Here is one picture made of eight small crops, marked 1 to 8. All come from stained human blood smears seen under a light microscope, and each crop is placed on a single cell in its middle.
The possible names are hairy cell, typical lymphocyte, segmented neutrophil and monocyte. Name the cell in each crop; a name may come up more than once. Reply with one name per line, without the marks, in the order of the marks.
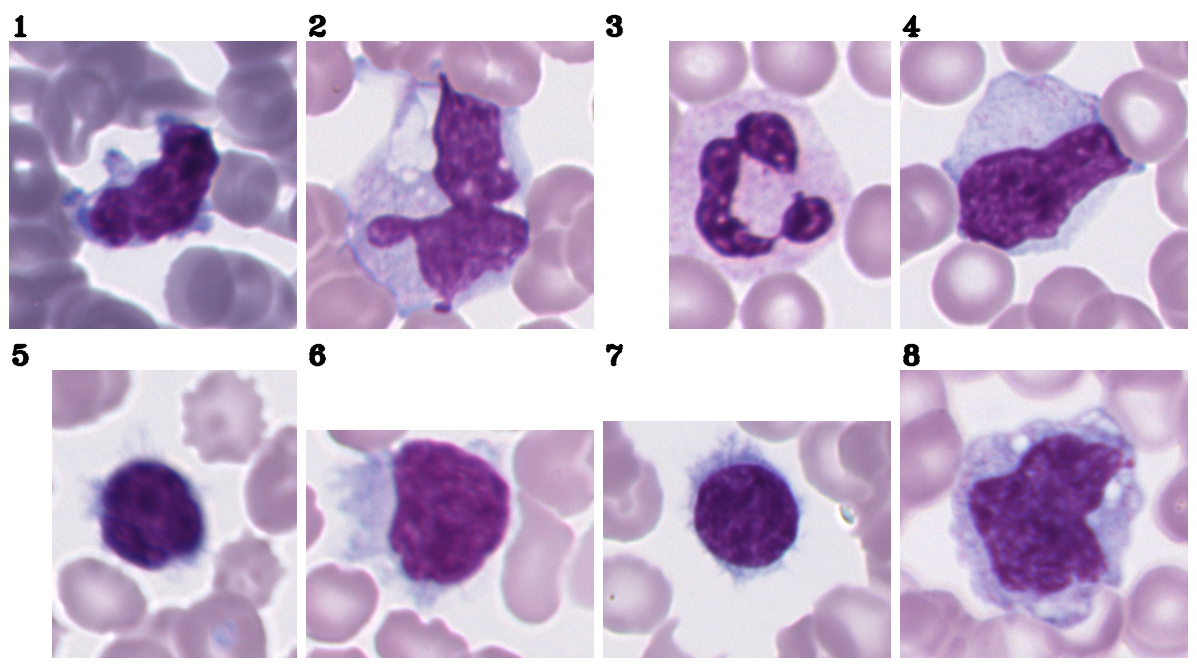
typical lymphocyte
monocyte
segmented neutrophil
monocyte
hairy cell
hairy cell
hairy cell
monocyte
